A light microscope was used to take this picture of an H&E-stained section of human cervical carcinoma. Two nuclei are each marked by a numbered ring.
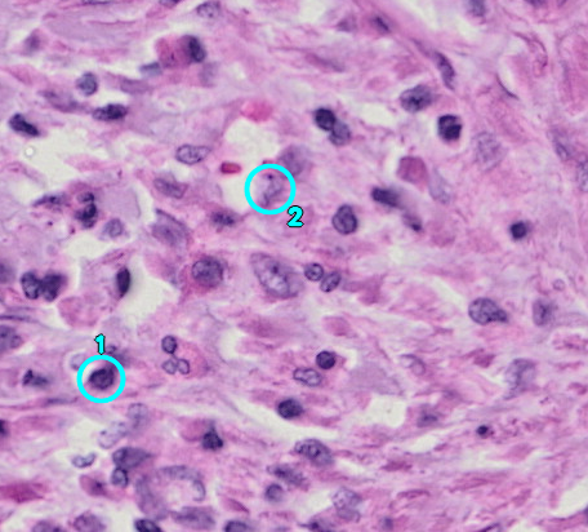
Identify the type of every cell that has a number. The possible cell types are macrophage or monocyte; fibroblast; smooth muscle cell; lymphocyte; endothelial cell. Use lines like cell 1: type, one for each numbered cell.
cell 1: lymphocyte
cell 2: endothelial cell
